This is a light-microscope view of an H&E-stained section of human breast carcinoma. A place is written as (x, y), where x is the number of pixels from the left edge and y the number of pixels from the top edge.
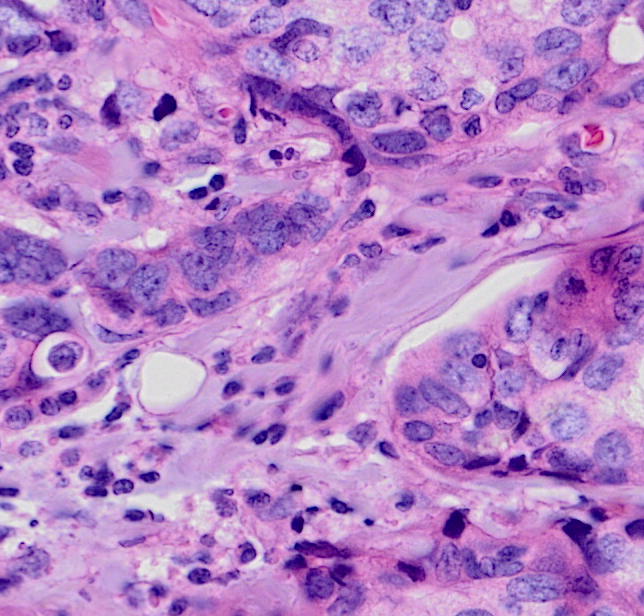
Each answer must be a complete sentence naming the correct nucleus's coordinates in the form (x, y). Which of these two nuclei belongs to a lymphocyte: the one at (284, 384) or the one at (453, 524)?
The one at (284, 384) is the nucleus belonging to a lymphocyte, not the other one.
